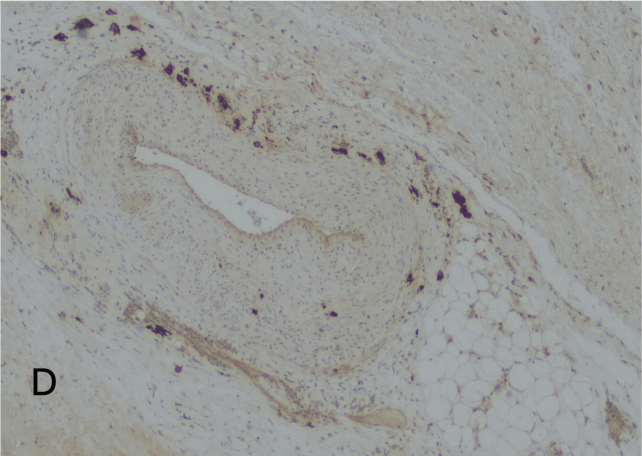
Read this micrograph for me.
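This shows the wall of an artery branch with cells staining brown scattered in and along it. The vessel wall is thick and made of layered, elongated cells with small blue nuclei around an irregular open lumen. Brown staining lines parts of the inner and outer wall, and a brown band follows a tract leading away at the lower left. Some very dark brown to black clumps lie along the outer edge of the wall. Clear, round fat cells sit against the vessel at the lower right.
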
